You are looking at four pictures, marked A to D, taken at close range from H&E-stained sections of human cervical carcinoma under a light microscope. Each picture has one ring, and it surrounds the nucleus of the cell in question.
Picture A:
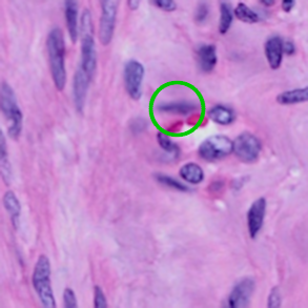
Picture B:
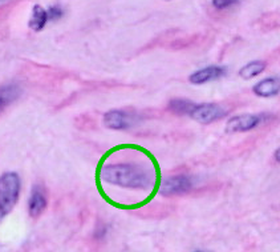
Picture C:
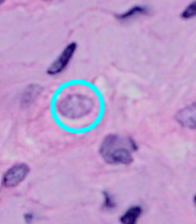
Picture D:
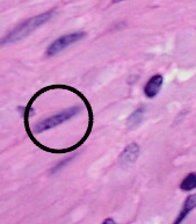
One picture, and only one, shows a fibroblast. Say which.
D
